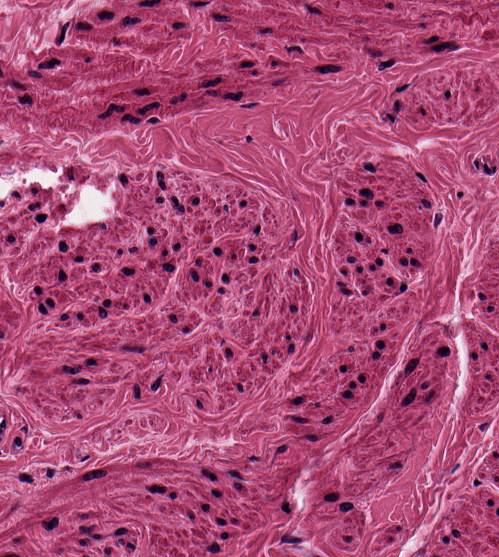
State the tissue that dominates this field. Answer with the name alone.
dense connective tissue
